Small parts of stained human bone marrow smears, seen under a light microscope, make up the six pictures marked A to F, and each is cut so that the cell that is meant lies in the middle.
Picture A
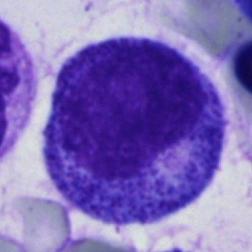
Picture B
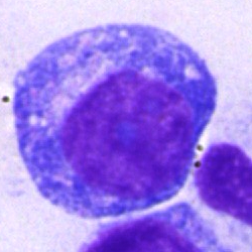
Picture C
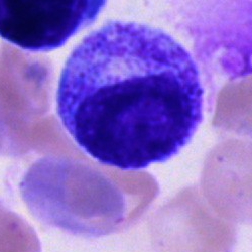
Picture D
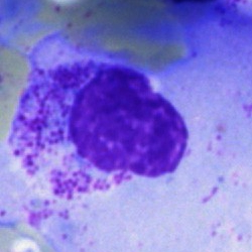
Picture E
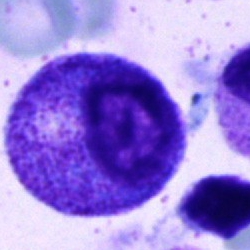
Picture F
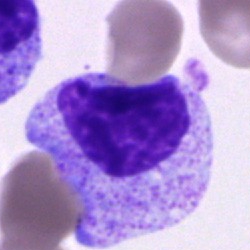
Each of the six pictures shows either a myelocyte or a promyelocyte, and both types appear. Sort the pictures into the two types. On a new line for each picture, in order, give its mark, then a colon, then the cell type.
A: promyelocyte
B: promyelocyte
C: myelocyte
D: myelocyte
E: myelocyte
F: myelocyte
